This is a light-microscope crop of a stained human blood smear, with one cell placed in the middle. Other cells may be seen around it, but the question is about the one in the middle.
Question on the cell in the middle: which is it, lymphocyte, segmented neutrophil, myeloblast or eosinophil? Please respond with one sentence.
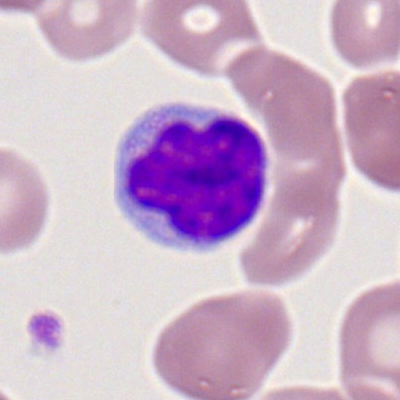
The cell shown in the center of this light-microscope crop is a lymphocyte.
